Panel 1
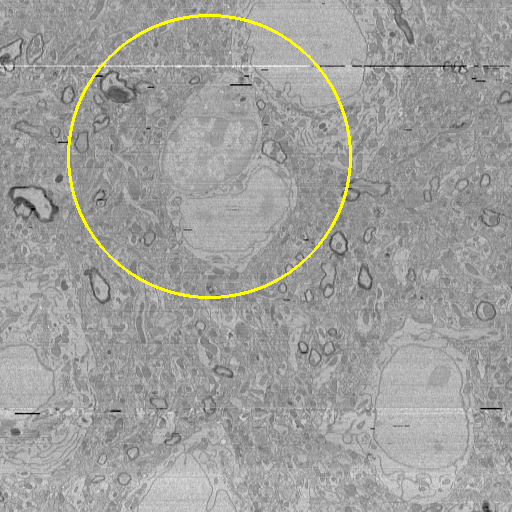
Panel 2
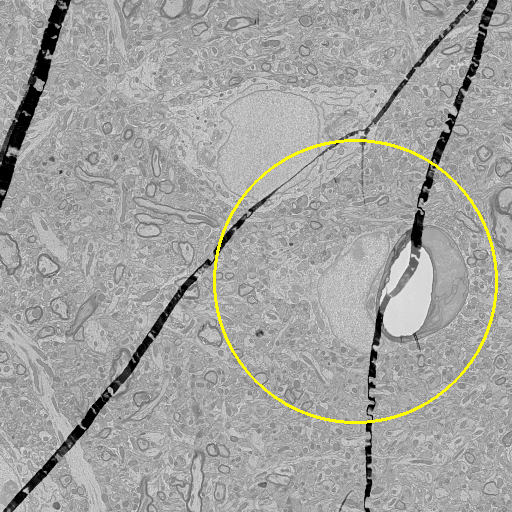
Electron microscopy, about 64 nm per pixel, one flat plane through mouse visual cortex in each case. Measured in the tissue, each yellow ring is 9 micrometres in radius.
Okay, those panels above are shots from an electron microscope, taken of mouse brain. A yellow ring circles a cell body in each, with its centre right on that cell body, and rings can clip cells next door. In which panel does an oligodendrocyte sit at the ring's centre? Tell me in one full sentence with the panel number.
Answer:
The cell you asked for sits at the ring's centre in panel 1.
